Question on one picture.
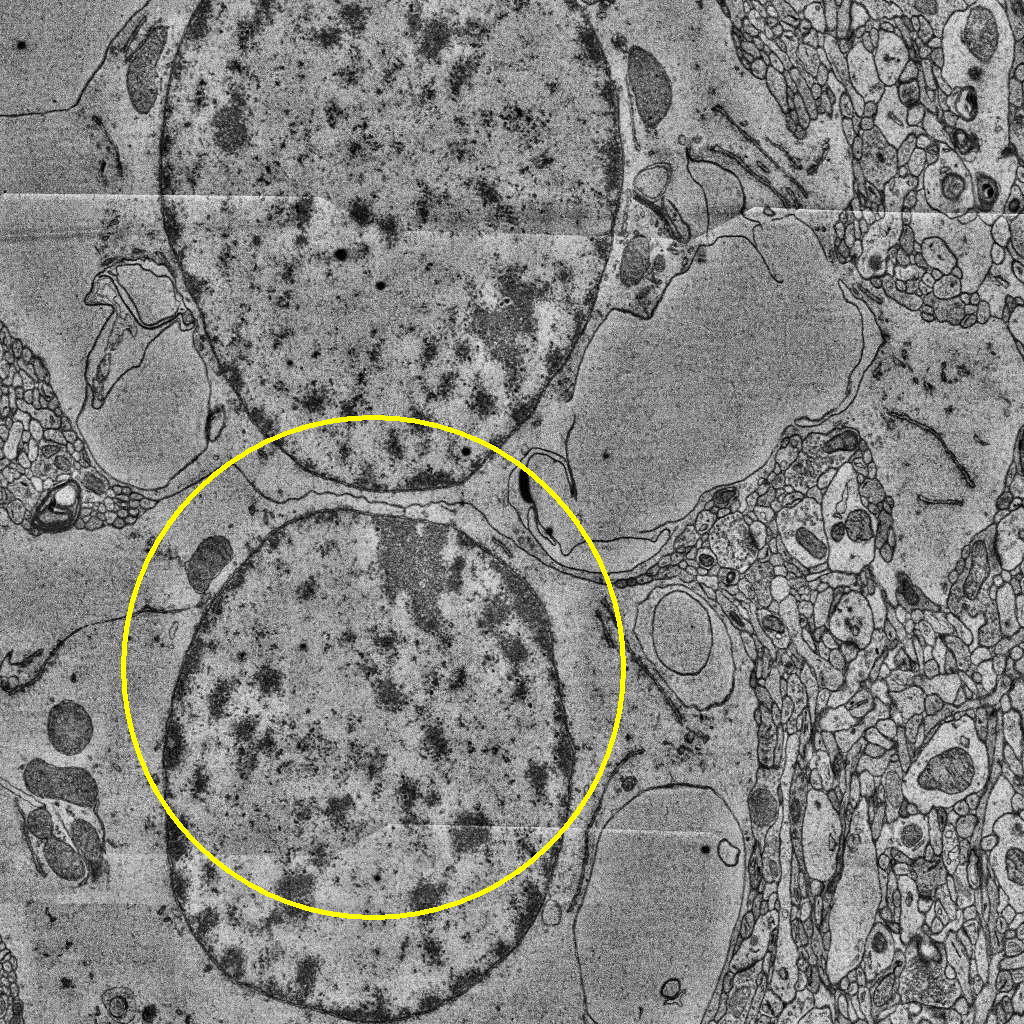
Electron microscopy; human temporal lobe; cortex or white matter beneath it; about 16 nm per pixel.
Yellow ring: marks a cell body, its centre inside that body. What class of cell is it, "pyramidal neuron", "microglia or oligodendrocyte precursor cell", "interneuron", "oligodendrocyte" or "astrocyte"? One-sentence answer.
This is an astrocyte, the cell at the ring's centre.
